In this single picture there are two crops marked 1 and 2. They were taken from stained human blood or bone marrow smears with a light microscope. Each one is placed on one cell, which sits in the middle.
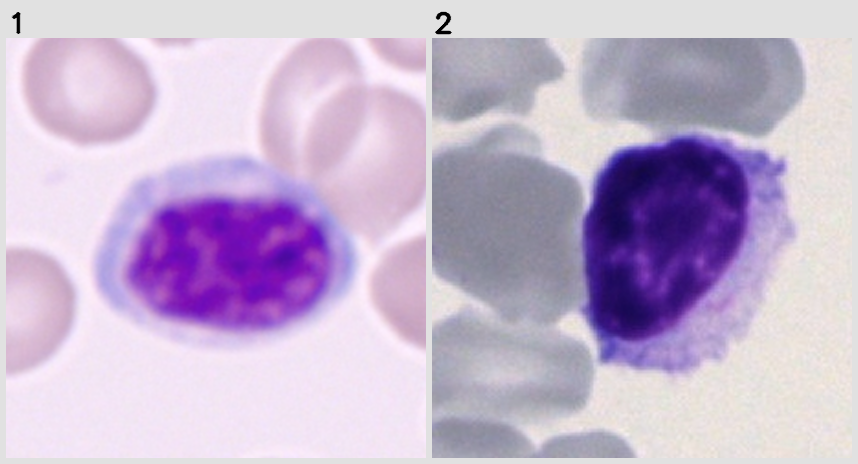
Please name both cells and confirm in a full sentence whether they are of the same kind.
Yes, in the two crops, lymphocytes are the cells at the centre.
